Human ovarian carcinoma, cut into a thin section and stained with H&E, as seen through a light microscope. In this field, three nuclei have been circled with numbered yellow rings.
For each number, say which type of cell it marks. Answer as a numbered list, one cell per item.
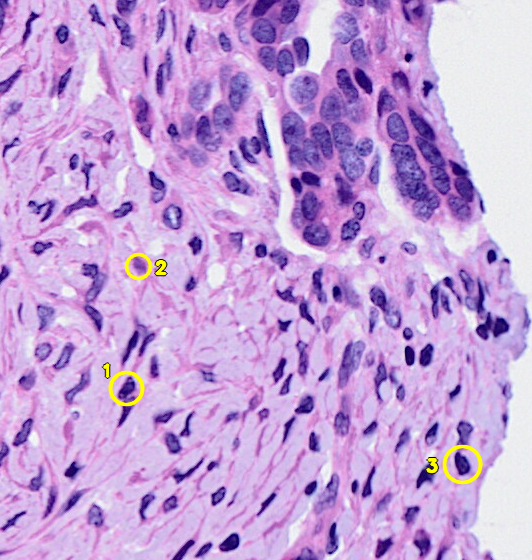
1. lymphocyte
2. fibroblast
3. lymphocyte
